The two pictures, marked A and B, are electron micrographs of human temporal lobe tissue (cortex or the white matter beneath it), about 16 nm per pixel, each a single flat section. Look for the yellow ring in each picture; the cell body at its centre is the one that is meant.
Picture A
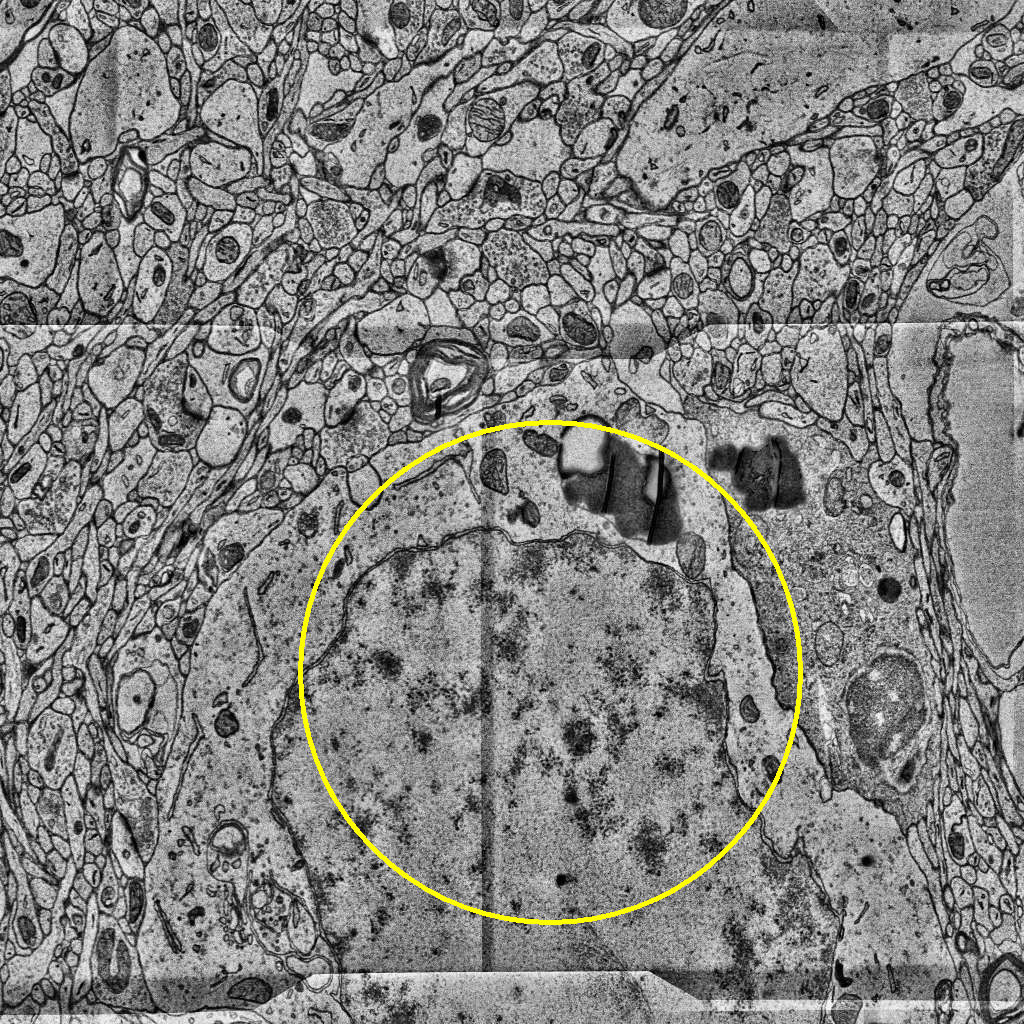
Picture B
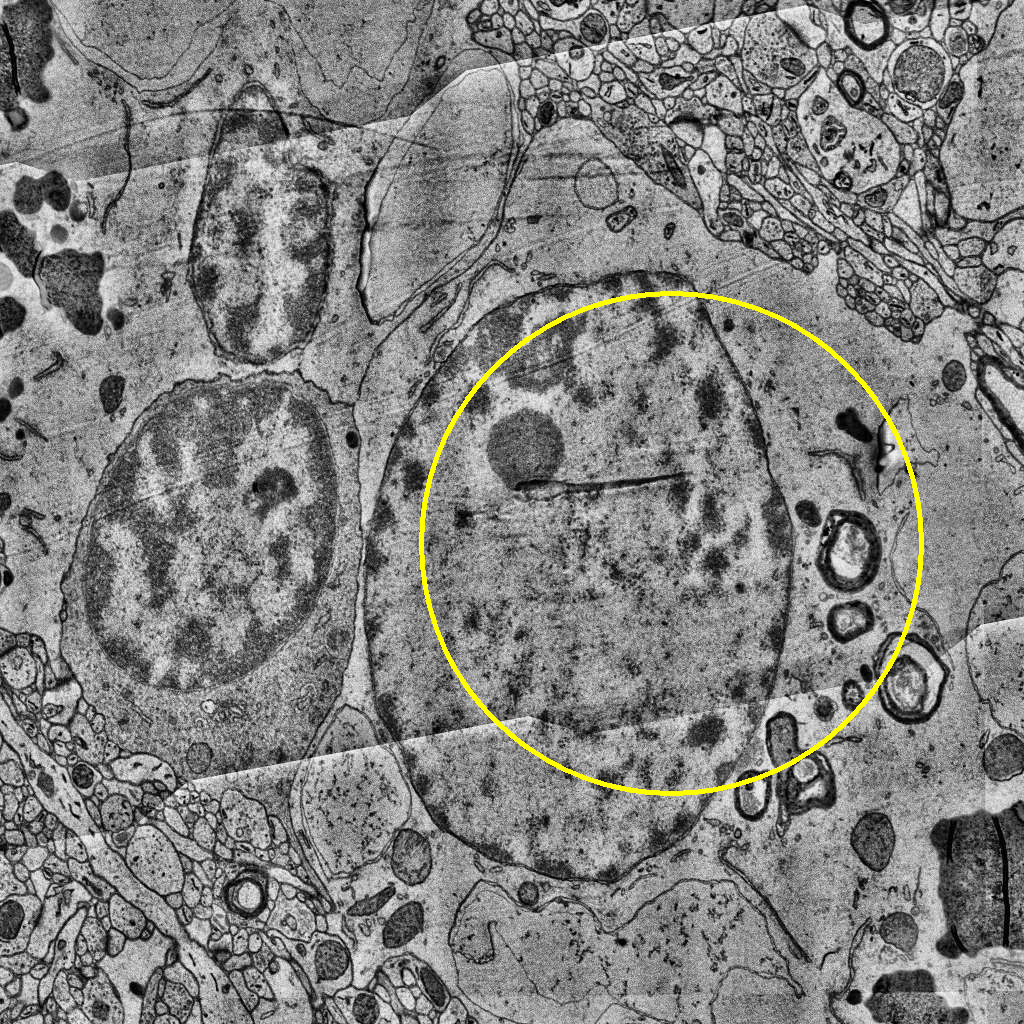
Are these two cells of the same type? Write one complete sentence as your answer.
No, they differ: the cell is an interneuron in picture A and an astrocyte in picture B.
